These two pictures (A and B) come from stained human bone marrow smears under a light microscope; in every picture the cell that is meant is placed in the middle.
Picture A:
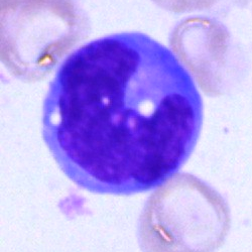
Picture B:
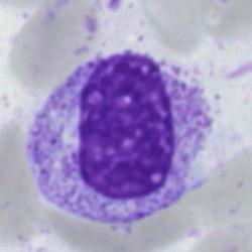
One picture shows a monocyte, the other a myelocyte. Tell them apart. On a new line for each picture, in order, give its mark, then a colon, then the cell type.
A: monocyte
B: myelocyte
